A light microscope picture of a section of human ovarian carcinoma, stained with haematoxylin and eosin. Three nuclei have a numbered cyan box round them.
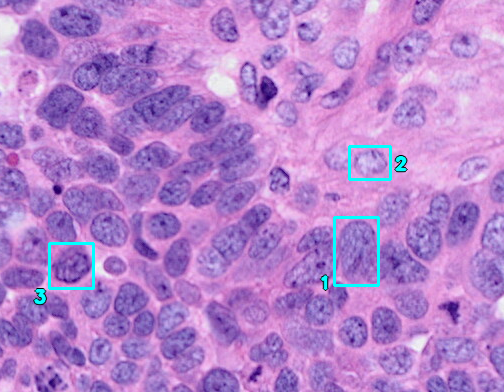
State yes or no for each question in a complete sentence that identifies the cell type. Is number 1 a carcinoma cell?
Yes, the cell carrying label 1 is a carcinoma cell.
